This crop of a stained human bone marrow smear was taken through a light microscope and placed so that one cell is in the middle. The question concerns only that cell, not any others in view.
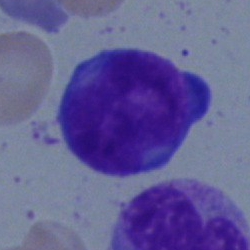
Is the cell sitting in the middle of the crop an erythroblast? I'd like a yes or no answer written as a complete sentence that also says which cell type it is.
No, the central cell is reported as a blast rather than as an erythroblast.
